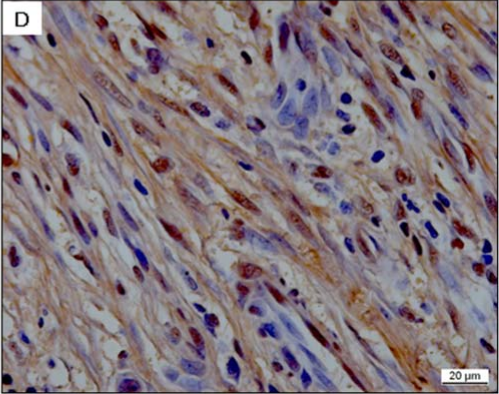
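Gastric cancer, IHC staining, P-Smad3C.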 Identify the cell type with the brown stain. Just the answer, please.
fibroblast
